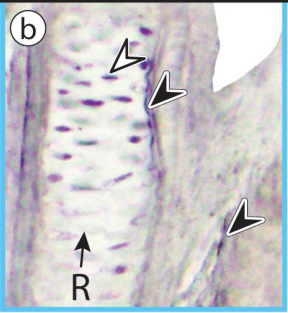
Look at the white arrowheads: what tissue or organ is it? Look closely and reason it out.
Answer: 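Cartilaginous core. These central cells sit in pale matrix, unlike the flat cells at the edge.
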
